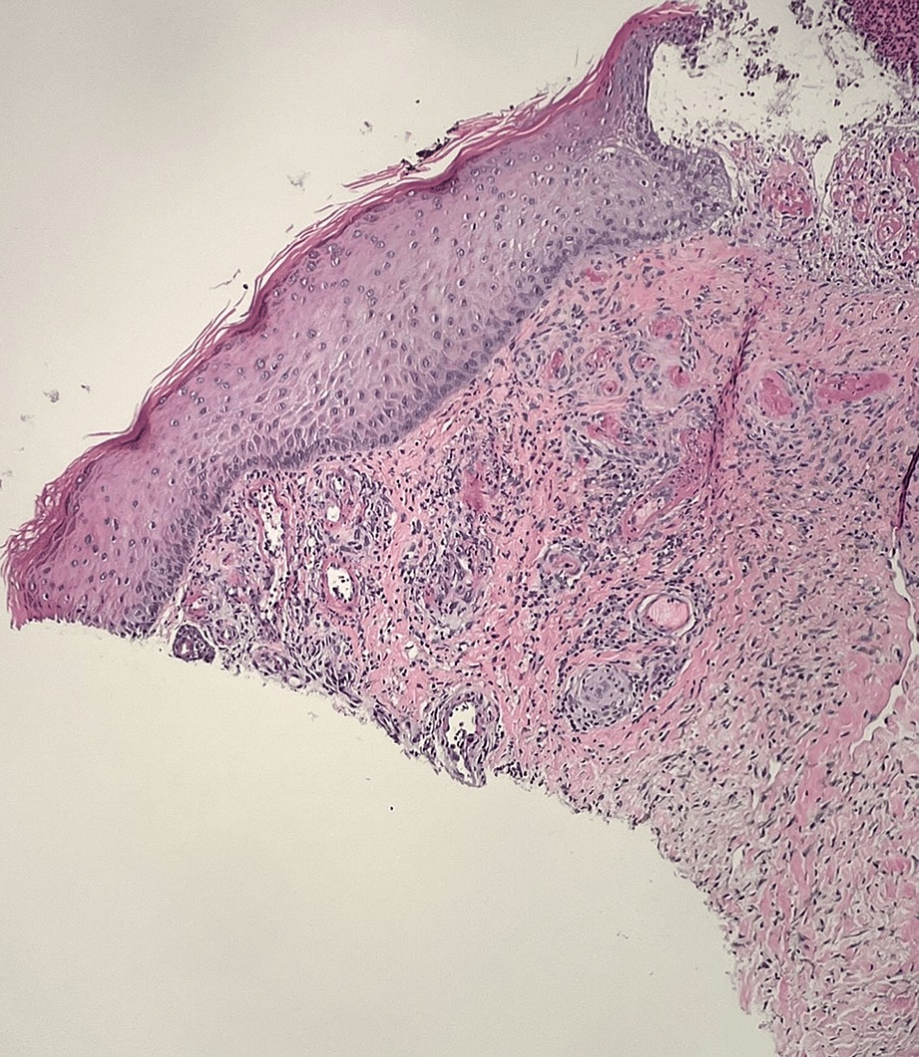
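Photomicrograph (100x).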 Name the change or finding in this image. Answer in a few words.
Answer: perivascular inflammation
